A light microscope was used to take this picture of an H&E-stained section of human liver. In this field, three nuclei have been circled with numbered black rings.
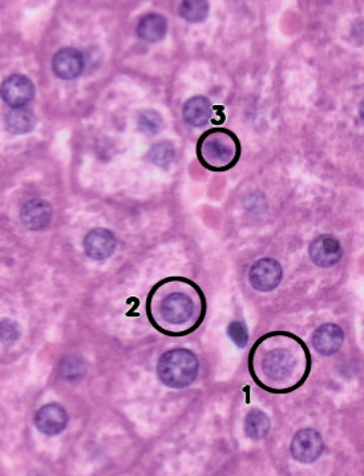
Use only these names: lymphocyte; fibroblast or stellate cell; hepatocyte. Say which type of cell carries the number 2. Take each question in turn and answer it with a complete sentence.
The one numbered 2 among the marked cells is a hepatocyte.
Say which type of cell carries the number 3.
Among the marked cells, number 3 is a fibroblast or stellate cell.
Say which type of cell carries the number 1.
Recognised here as a hepatocyte is the cell numbered 1.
